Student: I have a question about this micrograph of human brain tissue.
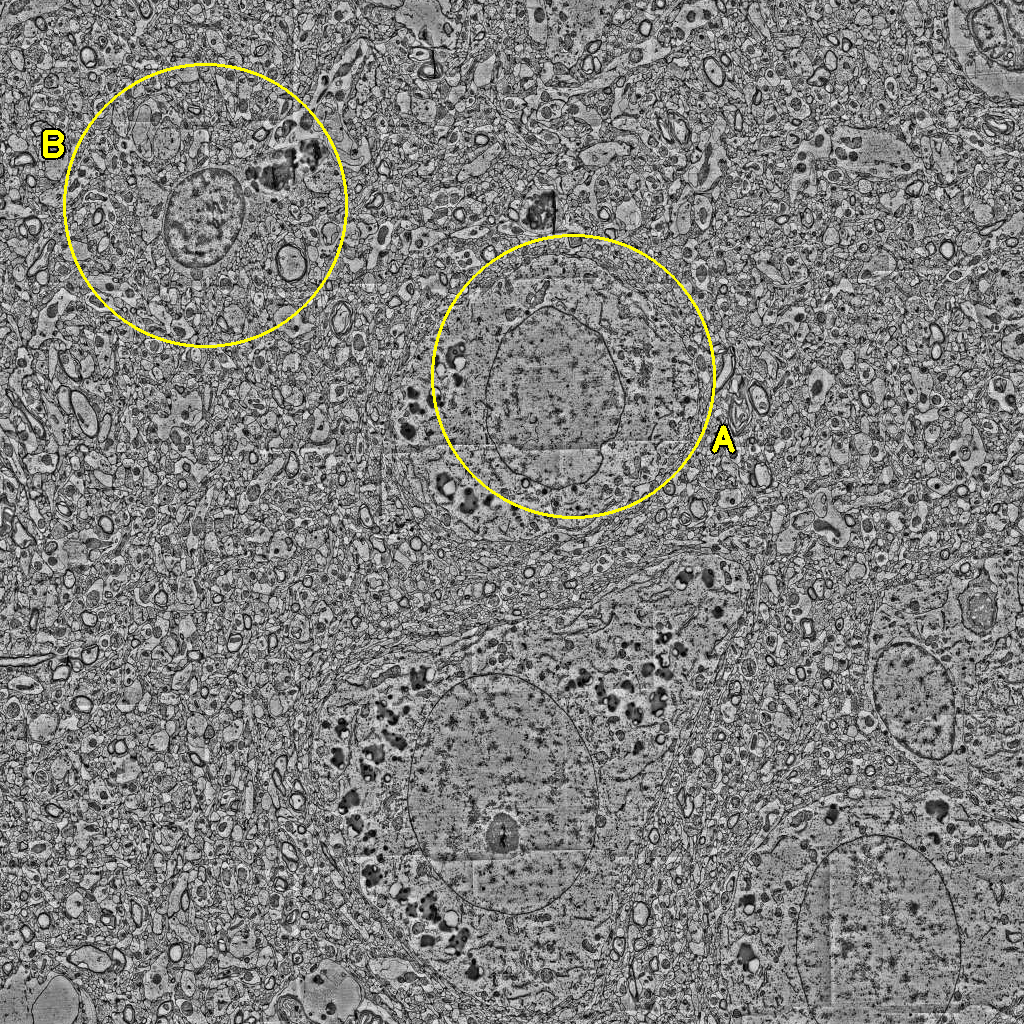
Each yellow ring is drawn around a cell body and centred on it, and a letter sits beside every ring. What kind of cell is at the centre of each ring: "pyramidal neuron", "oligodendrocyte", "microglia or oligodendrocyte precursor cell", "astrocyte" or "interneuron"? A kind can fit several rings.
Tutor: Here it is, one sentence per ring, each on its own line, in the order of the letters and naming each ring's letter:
For ring A, the cell at the centre is a pyramidal neuron.
For ring B, the cell at the centre is an oligodendrocyte.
